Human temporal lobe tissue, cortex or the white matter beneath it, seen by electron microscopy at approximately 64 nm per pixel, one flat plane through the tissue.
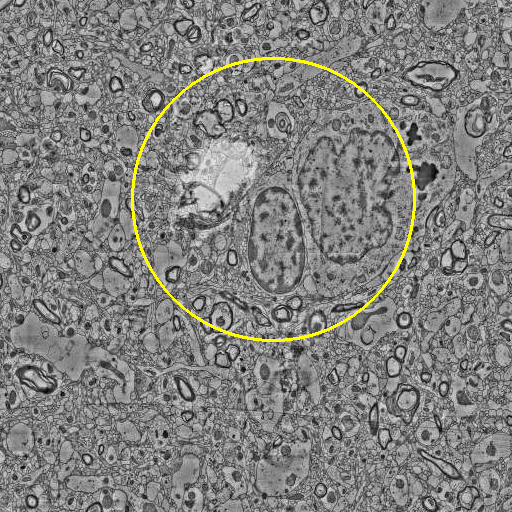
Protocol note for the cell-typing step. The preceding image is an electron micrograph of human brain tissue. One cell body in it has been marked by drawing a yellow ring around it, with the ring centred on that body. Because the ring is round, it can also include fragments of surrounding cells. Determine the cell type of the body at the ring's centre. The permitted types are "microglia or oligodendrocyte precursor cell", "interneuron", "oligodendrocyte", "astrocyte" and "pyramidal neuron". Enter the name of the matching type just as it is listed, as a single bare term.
microglia or oligodendrocyte precursor cell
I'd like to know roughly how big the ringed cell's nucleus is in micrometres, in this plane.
Roughly 7 by 4 micrometres; in this plane, clearly longer than it is wide.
